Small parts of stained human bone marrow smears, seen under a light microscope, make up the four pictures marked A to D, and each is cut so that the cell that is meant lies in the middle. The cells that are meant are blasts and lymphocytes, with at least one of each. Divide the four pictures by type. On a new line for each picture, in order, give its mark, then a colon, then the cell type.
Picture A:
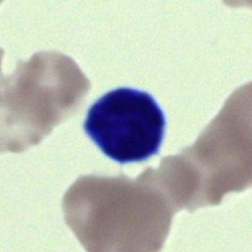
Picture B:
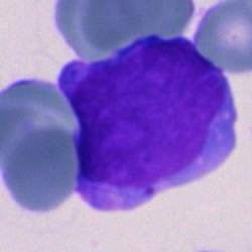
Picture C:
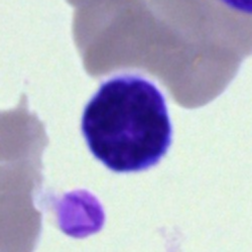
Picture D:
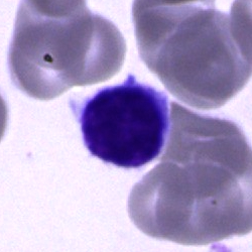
A: lymphocyte
B: blast
C: lymphocyte
D: lymphocyte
